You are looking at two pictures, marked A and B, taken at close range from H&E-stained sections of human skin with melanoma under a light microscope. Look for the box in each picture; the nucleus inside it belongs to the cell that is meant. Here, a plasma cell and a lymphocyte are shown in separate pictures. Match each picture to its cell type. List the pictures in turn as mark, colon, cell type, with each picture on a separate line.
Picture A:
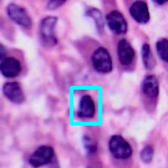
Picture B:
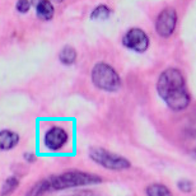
A: plasma cell
B: lymphocyte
